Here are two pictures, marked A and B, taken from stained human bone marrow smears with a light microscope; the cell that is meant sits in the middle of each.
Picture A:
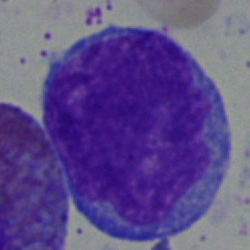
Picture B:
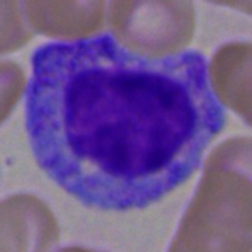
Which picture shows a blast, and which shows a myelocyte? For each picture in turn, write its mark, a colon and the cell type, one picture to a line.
A: blast
B: myelocyte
